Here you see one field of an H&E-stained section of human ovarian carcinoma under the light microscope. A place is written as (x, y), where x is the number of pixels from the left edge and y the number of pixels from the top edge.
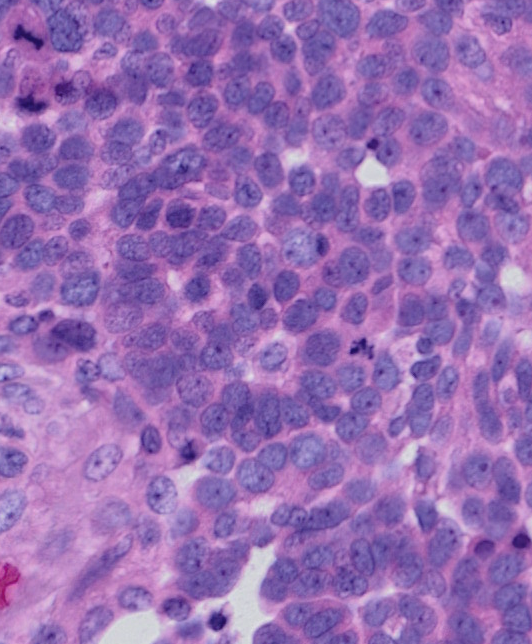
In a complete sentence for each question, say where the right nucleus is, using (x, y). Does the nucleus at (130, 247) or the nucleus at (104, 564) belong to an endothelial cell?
The pair contains one nucleus of an endothelial cell, namely the one at (104, 564).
